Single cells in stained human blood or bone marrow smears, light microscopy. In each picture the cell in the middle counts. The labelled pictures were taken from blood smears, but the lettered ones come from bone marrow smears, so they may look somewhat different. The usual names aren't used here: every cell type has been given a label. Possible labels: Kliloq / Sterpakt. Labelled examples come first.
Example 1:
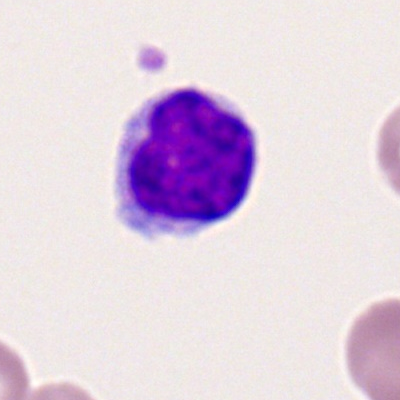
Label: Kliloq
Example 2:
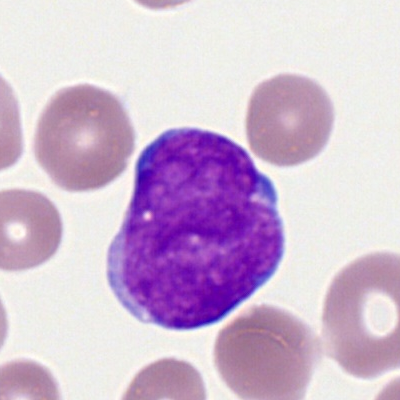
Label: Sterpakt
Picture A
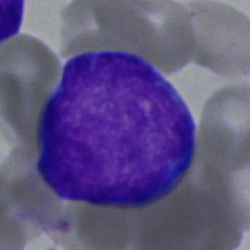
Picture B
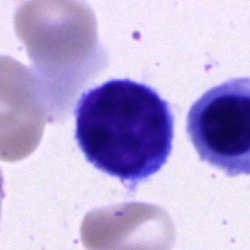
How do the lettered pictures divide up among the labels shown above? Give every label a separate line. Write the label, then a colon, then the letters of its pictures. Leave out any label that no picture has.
Kliloq: B
Sterpakt: A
